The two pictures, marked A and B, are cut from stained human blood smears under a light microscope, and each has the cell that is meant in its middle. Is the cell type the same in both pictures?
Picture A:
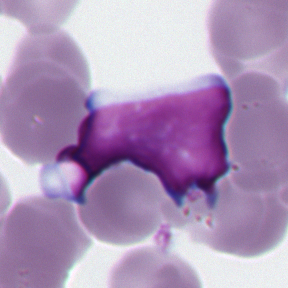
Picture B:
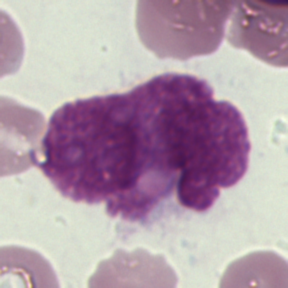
no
